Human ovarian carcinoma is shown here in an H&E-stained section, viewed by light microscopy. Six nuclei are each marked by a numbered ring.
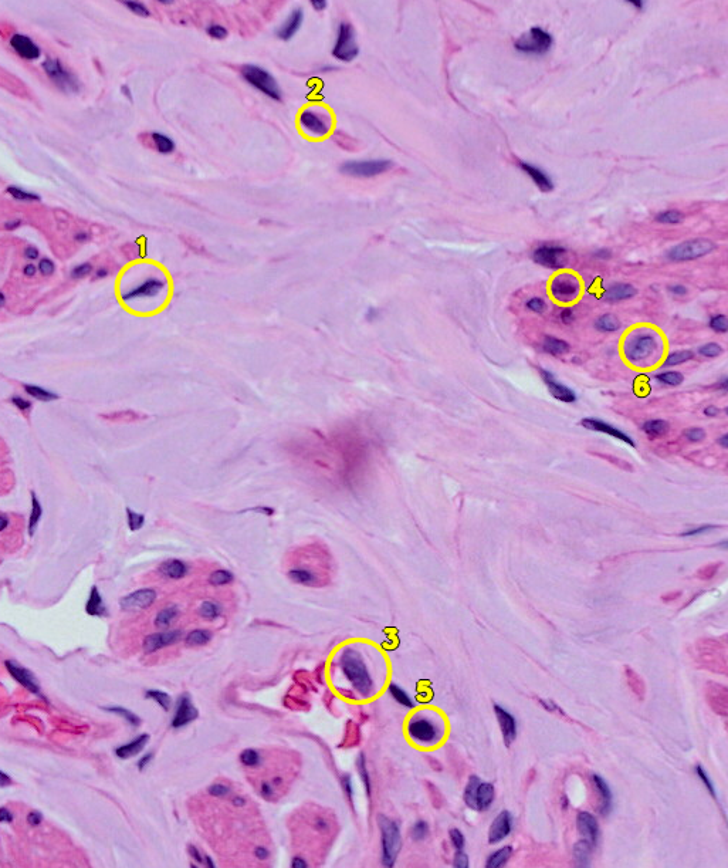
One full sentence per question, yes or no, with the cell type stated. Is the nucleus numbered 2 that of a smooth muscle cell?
Yes, and to answer plainly, cell 2 is a smooth muscle cell.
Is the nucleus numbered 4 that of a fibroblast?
No, the cell indicated by 4 is a smooth muscle cell instead of a fibroblast.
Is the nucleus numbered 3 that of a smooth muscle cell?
No, the cell indicated by 3 is an endothelial cell instead of a smooth muscle cell.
